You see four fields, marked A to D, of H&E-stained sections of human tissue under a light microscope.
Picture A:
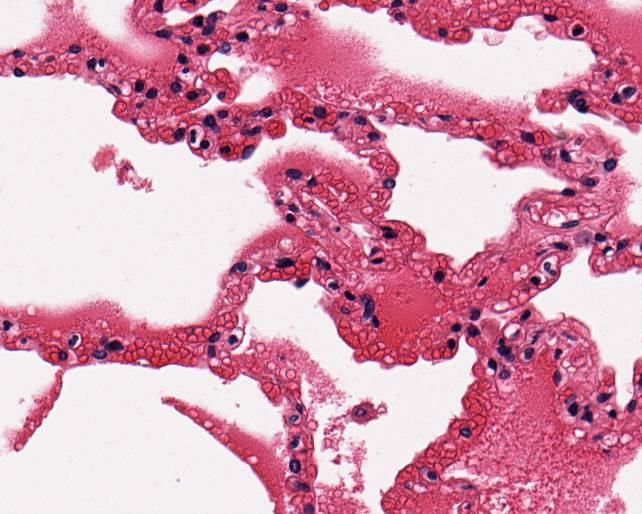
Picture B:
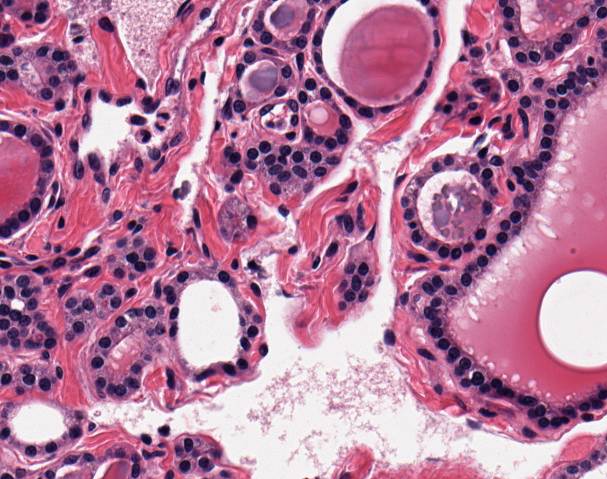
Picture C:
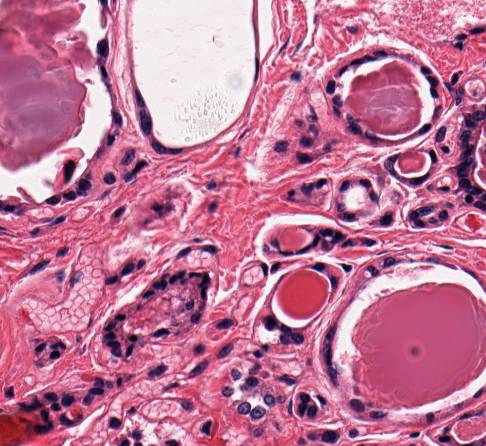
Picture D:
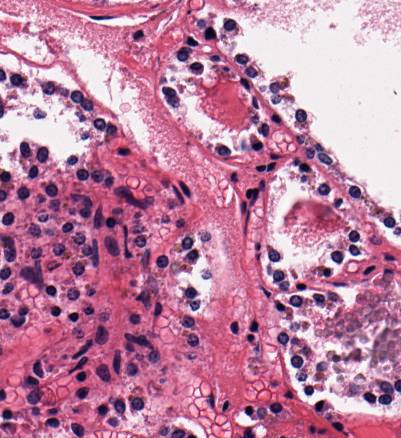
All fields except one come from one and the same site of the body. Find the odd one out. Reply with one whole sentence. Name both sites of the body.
All pictures except A come from the thyroid; picture A comes from the lung.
